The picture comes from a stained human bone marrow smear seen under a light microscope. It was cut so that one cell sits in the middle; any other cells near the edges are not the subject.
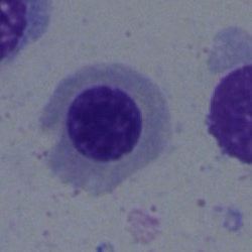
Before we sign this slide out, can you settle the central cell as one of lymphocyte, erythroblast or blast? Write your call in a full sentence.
The cell that lies at the centre of the crop is an erythroblast.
